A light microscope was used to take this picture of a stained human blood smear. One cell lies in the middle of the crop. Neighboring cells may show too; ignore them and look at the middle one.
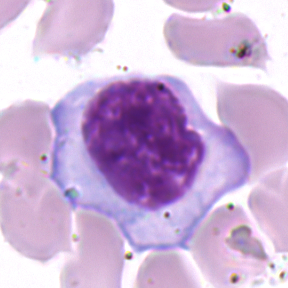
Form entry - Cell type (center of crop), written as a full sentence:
What sits at the centre of this crop is a plasma cell.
